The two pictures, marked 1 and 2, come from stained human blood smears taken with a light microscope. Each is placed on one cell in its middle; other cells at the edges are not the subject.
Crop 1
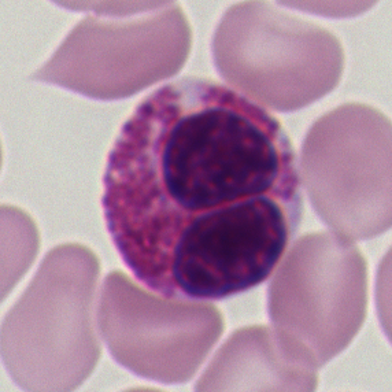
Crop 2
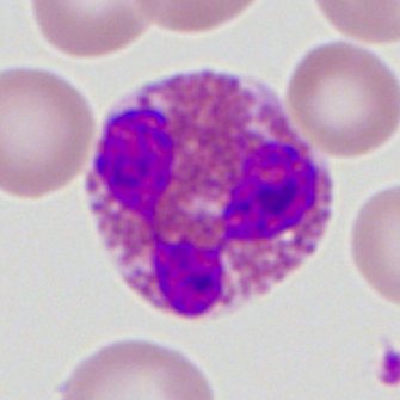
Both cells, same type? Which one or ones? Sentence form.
Yes, both crops show eosinophils, the one and the other.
